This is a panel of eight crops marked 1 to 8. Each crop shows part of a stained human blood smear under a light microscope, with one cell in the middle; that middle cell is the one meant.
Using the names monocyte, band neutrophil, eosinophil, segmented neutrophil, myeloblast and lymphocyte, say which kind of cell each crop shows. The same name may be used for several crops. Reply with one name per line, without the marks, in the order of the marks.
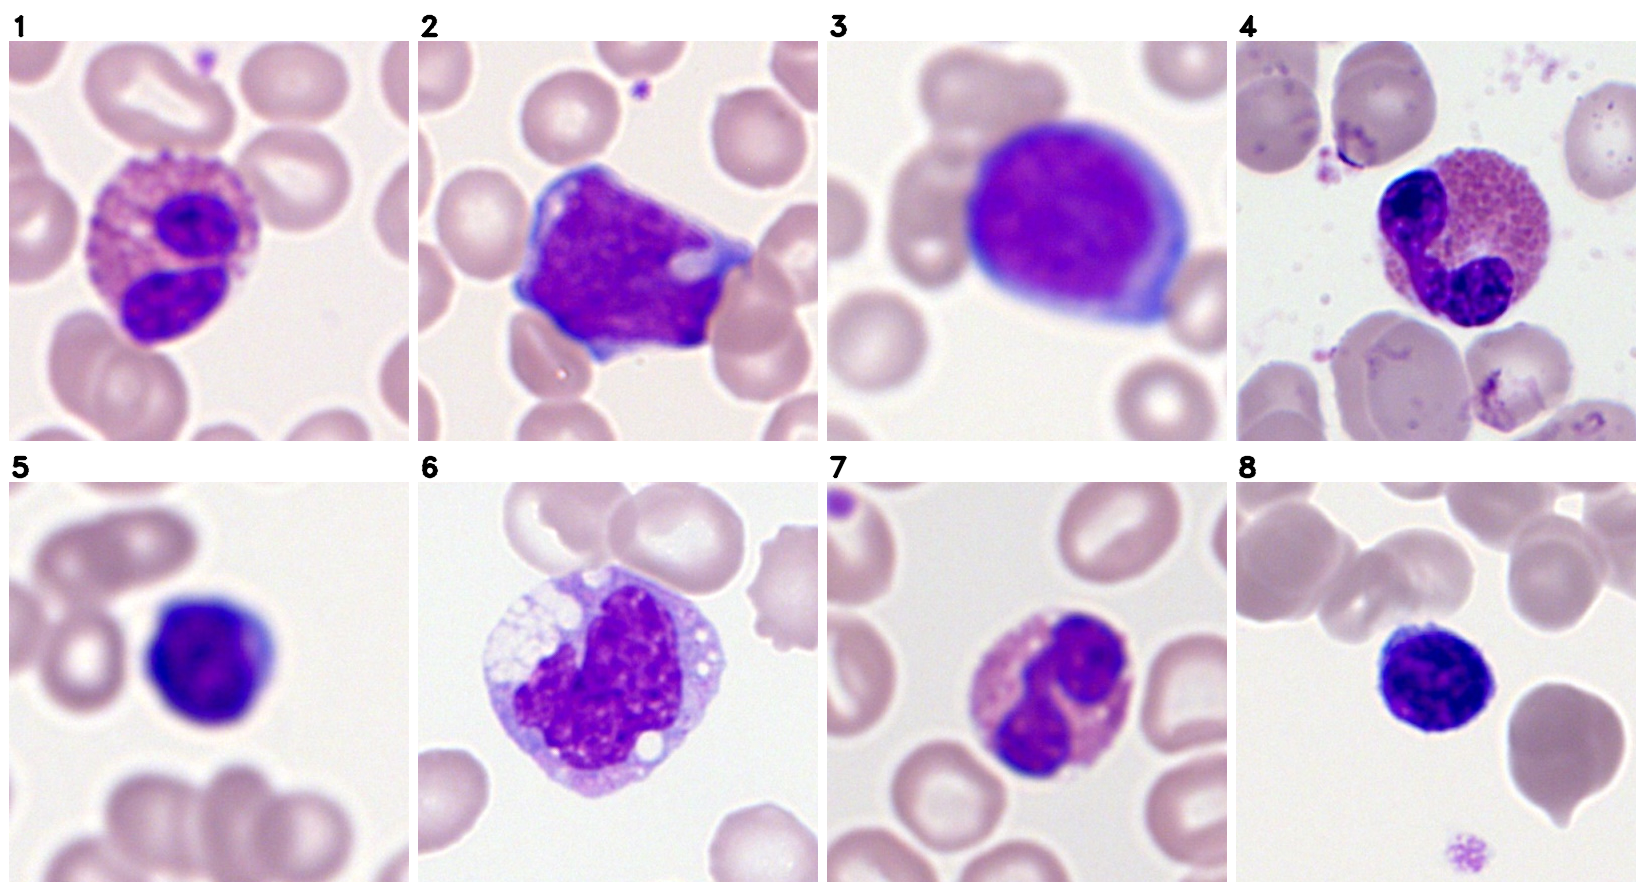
eosinophil
myeloblast
myeloblast
eosinophil
lymphocyte
monocyte
eosinophil
lymphocyte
